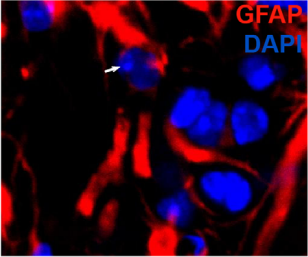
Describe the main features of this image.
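A crowd of round and oval blue nuclei lies packed among thick, ribbon-like red processes that run in several directions through the tissue. Some red processes wrap closely around the nuclei, and a white arrow points to one nucleus with red labelling pressed against it.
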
